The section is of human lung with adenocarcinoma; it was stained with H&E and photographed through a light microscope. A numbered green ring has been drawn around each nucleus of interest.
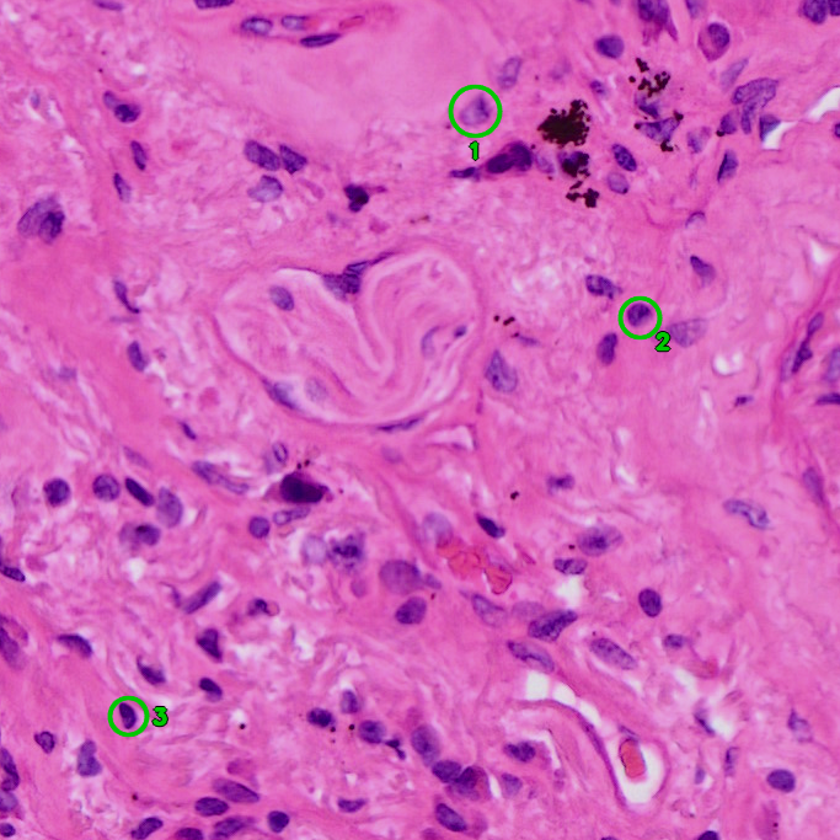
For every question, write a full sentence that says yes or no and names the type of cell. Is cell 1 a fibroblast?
Yes, regarding number 1, the cell is a fibroblast.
